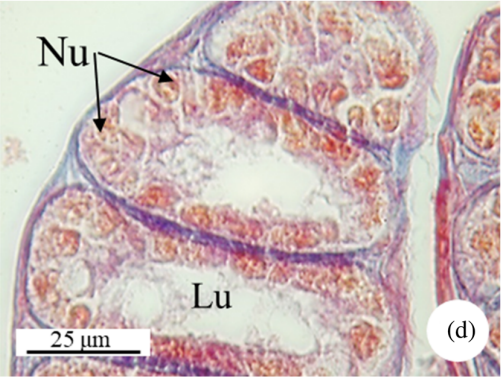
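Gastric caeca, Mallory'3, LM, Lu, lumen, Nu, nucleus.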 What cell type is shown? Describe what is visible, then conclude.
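Monolayer cuboidal epithelial cells. A single layer of cells lines each lumen. The cells have round nuclei and lie side by side on a thin blue-stained boundary.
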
